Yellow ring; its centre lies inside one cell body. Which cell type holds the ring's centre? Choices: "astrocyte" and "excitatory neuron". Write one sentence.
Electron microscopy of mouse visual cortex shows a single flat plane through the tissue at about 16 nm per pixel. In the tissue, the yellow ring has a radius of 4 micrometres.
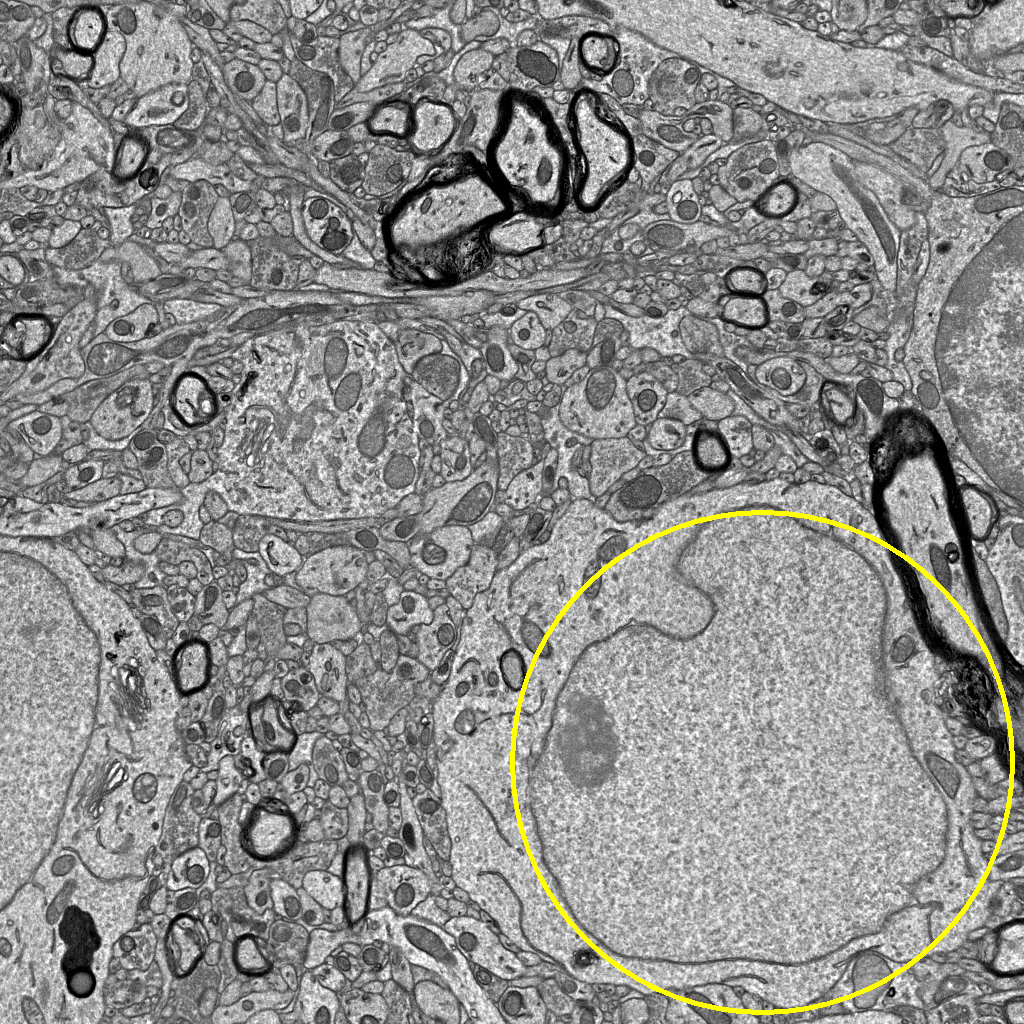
At the centre of the ring sits an excitatory neuron.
